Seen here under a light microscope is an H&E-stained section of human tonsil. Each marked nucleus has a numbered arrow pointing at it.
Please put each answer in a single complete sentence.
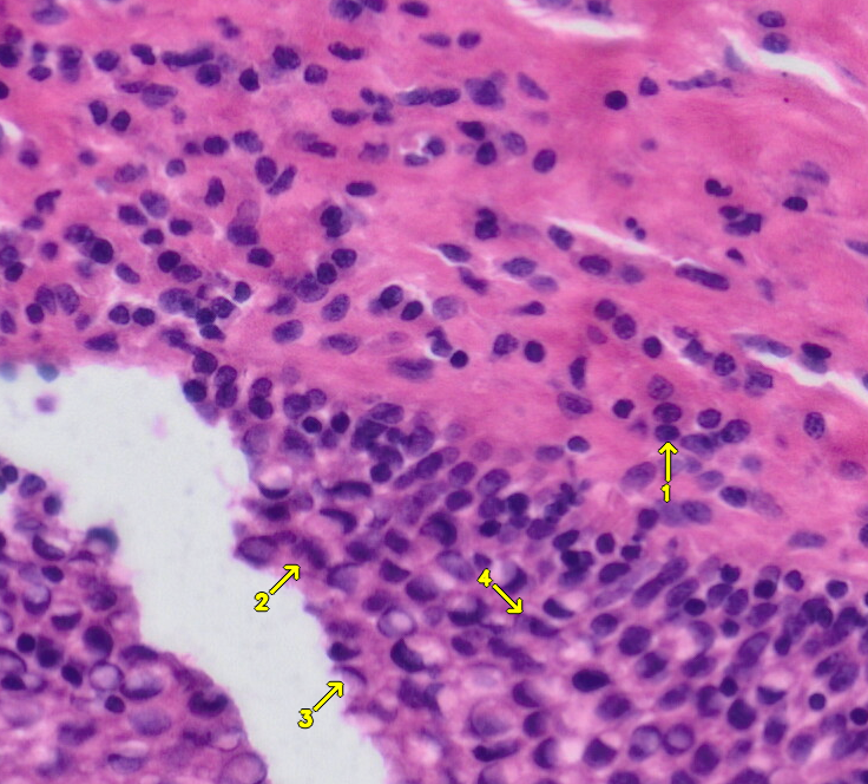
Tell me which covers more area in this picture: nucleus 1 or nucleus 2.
Nucleus 2 is larger, with an area about 2.5 times that of nucleus 1.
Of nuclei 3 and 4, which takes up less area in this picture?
Nucleus 3 covers less area, with nucleus 4 about 2.5 times as large.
